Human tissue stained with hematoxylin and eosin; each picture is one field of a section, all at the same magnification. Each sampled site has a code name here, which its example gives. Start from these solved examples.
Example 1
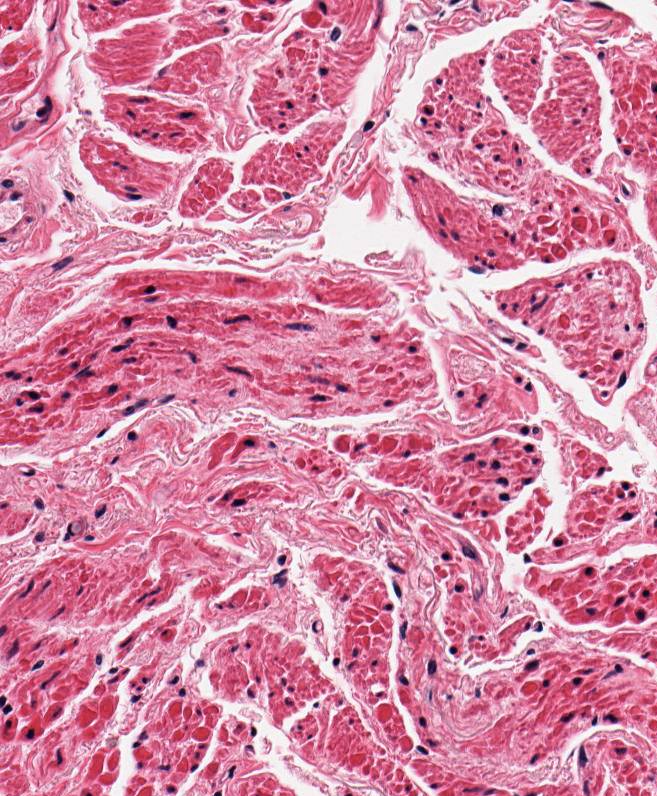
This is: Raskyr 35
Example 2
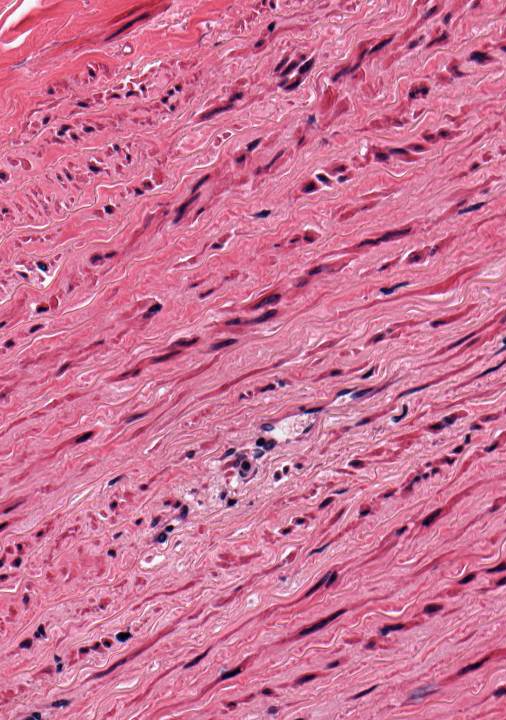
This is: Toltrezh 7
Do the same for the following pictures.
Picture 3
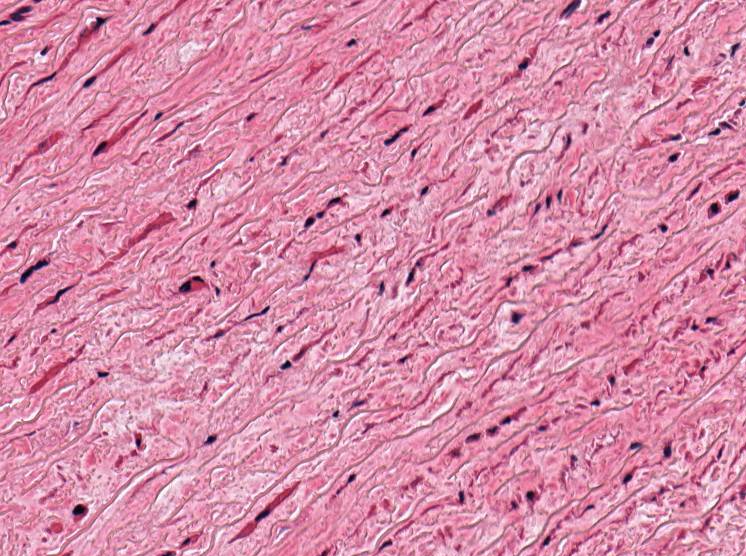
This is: Toltrezh 7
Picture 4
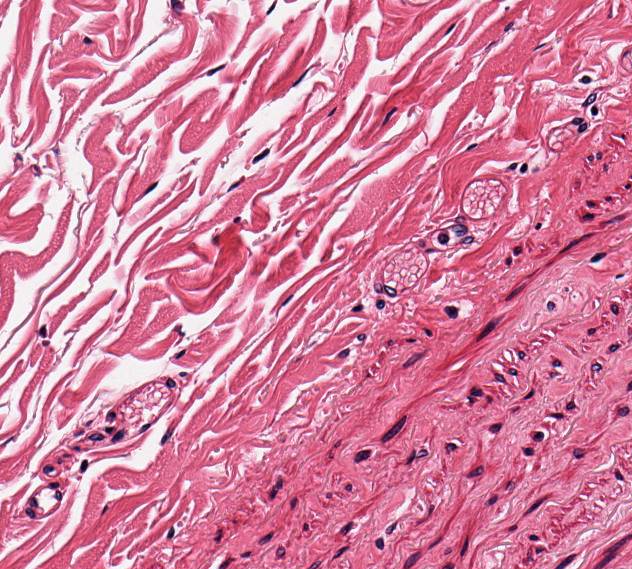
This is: Toltrezh 7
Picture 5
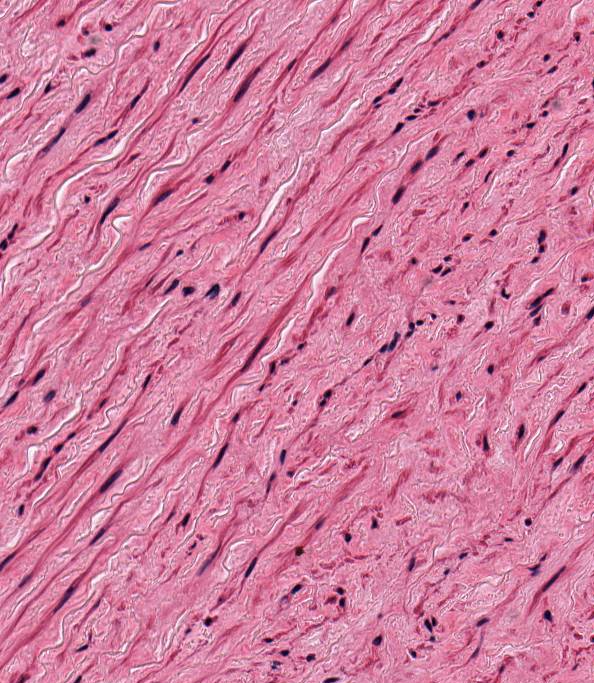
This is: Toltrezh 7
